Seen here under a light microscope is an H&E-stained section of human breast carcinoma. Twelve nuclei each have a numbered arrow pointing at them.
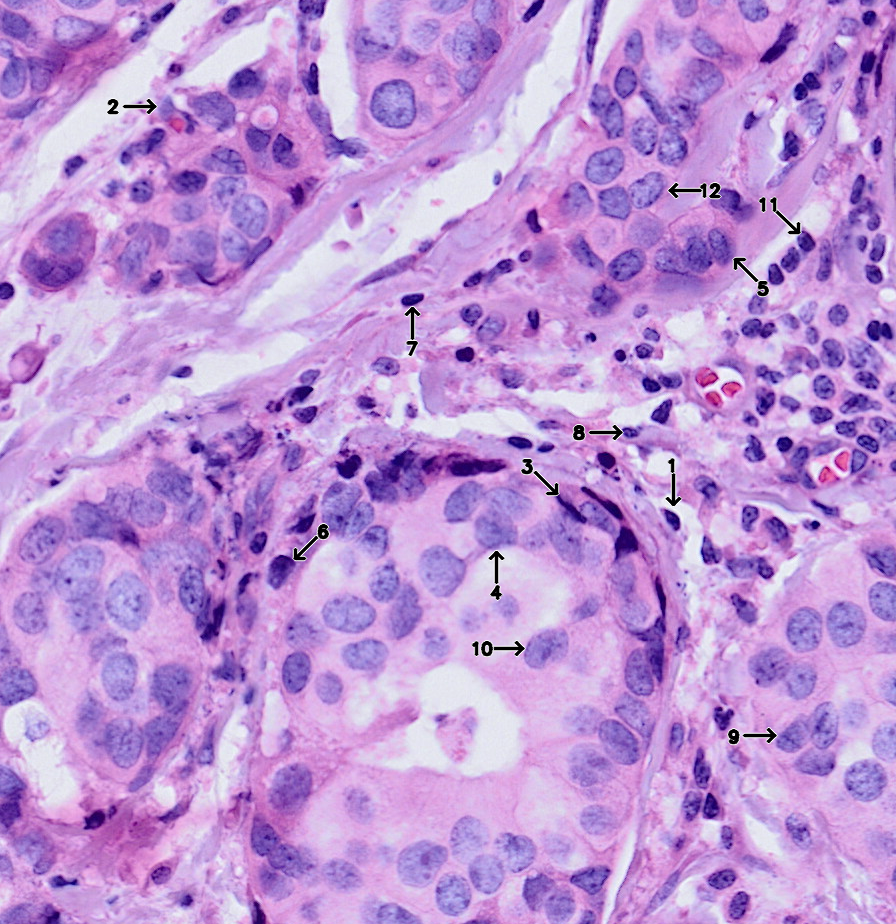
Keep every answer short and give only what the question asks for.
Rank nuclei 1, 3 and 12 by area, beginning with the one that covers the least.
1, 3, 12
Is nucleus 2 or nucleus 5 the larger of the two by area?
5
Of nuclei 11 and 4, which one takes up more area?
4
